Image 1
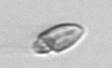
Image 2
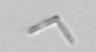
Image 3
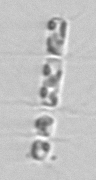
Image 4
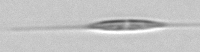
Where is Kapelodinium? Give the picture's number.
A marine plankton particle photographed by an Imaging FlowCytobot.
1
